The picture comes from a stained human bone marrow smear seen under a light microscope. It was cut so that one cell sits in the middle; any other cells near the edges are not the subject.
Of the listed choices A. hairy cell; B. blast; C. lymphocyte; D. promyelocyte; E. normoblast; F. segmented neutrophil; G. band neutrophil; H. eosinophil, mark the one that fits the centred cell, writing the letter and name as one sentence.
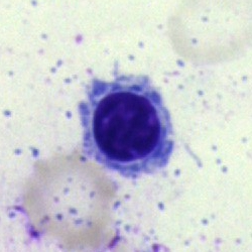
The cell in the center of this crop is a normoblast, so option E is the one to pick.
